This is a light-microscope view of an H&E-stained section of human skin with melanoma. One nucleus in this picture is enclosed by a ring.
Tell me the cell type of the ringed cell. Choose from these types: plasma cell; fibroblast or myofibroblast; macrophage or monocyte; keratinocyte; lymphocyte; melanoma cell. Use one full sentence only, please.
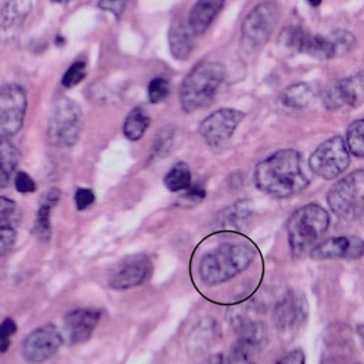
In the stained section, the ringed cell is a melanoma cell.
